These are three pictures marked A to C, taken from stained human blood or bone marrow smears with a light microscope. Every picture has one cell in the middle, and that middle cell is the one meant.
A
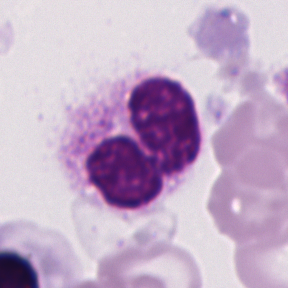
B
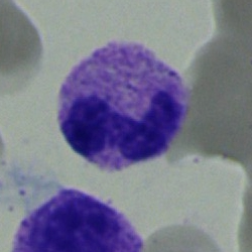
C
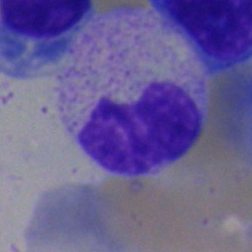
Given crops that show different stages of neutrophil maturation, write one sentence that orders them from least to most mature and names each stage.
Placed in order from least to most mature, they run crop C (a metamyelocyte), crop B (a band neutrophil) and crop A (a segmented neutrophil).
